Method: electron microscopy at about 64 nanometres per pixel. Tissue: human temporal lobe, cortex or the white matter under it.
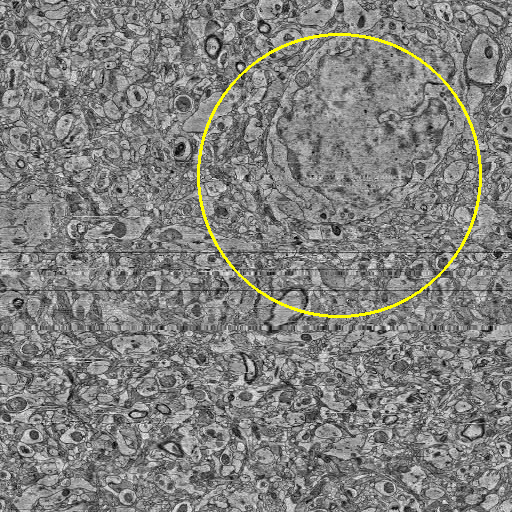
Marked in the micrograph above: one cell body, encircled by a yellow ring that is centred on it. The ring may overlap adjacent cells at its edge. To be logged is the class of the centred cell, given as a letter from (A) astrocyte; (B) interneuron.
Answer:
B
